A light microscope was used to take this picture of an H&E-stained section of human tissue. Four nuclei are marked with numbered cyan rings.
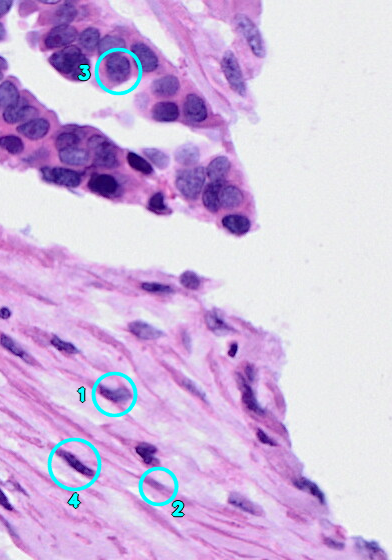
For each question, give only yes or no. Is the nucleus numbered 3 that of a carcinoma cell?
yes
